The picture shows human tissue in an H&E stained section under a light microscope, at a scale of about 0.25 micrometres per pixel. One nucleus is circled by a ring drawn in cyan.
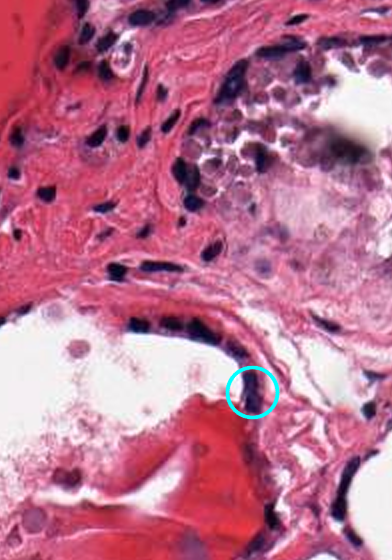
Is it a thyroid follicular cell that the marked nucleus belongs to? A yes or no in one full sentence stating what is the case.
Yes, the marked nucleus is held by a thyroid follicular cell.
